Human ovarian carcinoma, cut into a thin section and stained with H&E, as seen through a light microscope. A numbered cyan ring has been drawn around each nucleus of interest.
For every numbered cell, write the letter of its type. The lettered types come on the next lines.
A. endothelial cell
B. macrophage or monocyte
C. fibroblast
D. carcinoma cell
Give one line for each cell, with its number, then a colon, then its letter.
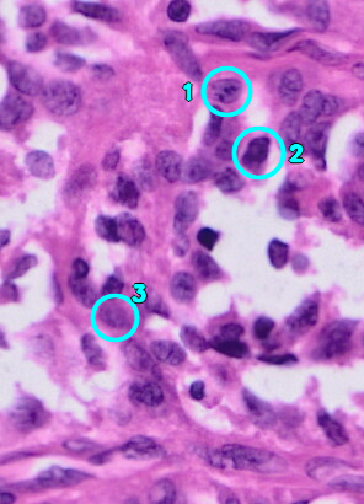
1: B
2: D
3: D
